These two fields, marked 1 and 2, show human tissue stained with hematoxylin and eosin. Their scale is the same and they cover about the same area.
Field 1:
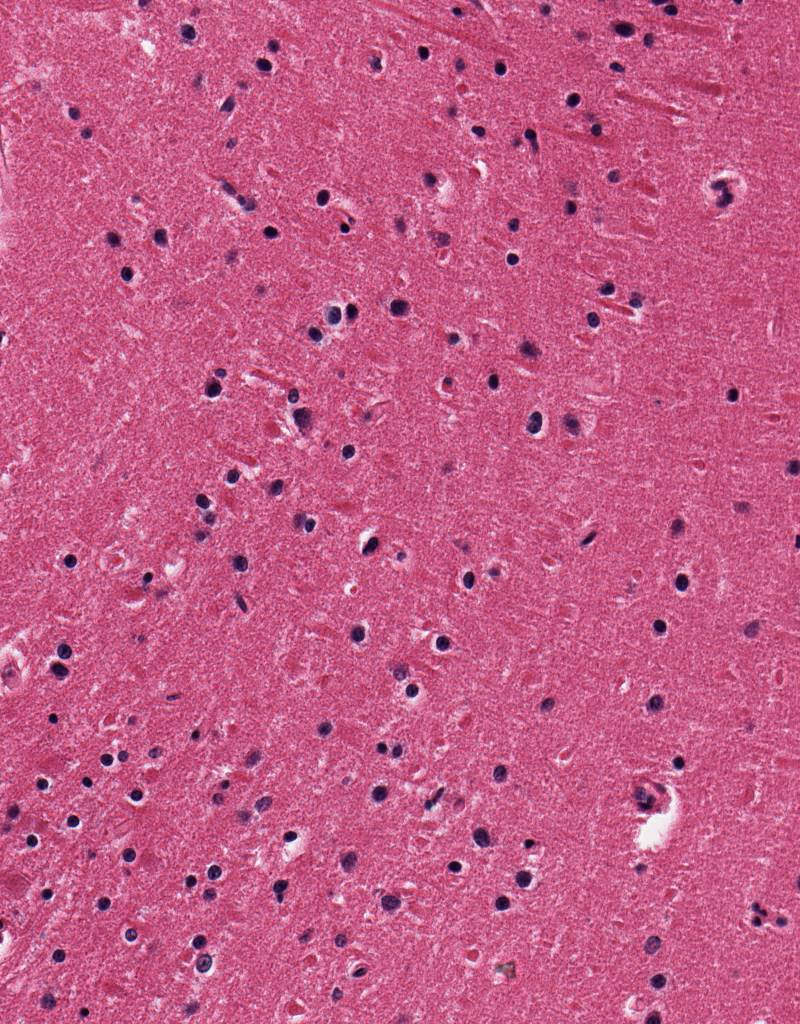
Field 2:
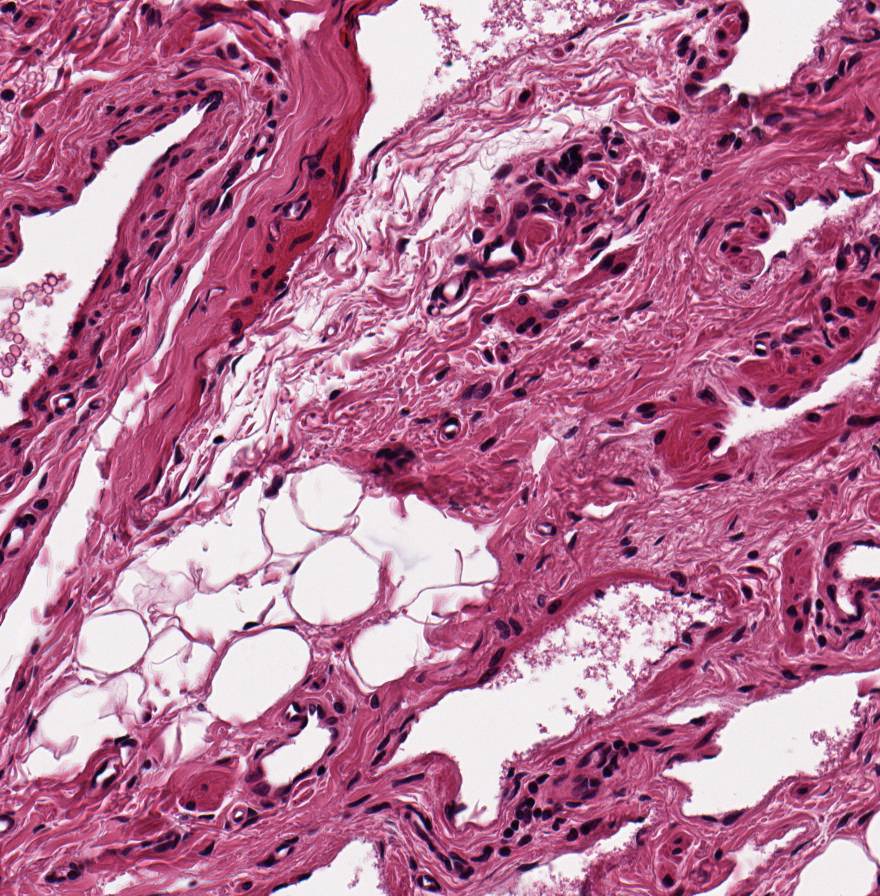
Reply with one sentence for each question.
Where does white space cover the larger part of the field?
More of field 2 is empty and white.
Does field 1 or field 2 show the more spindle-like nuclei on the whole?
The nuclei are more elongated in field 2.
